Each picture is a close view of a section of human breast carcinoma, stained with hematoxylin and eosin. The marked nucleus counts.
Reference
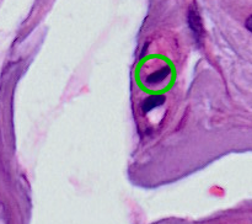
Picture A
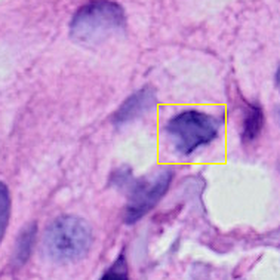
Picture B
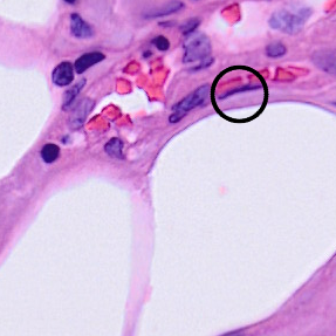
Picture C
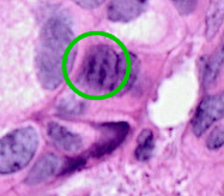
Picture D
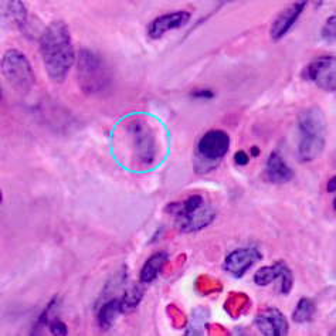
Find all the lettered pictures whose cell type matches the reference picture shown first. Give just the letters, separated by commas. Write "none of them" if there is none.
B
